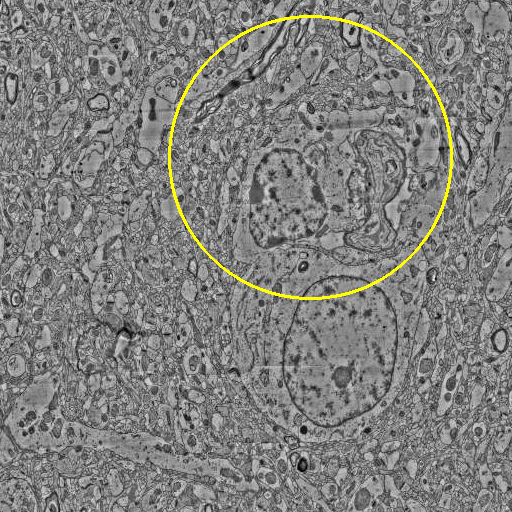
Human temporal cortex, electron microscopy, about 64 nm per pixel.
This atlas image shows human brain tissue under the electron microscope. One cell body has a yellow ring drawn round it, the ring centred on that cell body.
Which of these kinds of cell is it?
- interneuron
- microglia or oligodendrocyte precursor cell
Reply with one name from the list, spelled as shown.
microglia or oligodendrocyte precursor cell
